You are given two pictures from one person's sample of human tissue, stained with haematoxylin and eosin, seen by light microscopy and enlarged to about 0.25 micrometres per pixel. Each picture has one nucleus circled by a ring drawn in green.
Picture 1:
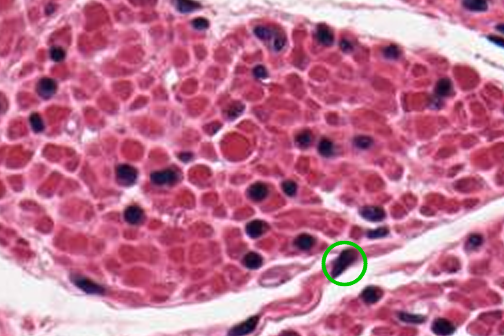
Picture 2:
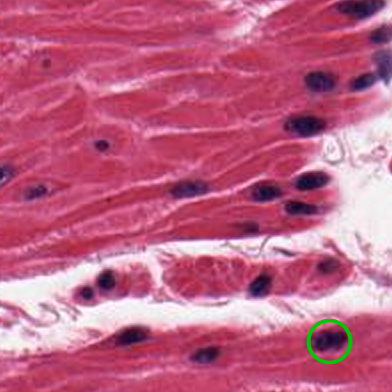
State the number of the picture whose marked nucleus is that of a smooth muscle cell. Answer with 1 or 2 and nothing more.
2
